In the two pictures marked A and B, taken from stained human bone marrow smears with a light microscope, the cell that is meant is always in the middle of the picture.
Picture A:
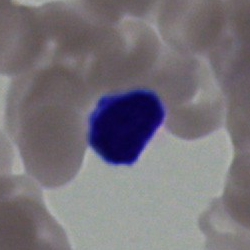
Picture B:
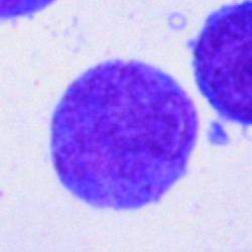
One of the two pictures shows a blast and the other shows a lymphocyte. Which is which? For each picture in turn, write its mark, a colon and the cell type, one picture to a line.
A: lymphocyte
B: blast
